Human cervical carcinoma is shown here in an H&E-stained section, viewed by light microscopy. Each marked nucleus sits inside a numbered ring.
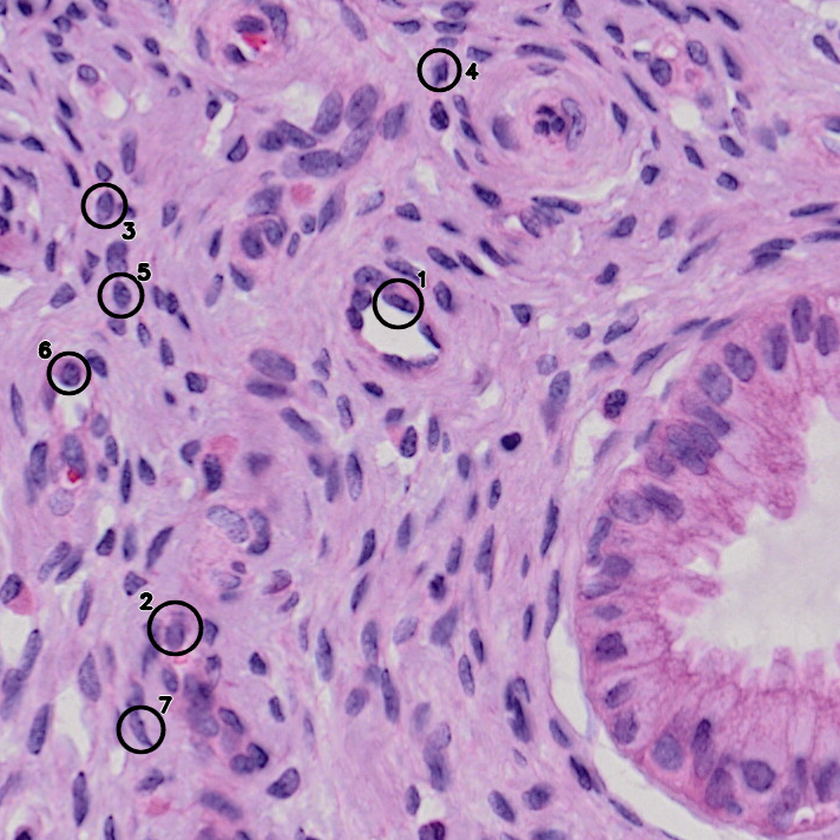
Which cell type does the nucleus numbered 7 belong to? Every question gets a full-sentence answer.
The nucleus with number 7 is that of a fibroblast.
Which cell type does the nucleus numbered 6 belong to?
The cell assigned the number 6 is an endothelial cell.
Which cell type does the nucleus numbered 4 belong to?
In this section, the cell numbered 4 is a fibroblast.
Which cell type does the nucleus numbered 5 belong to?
The cell given label 5 is a fibroblast.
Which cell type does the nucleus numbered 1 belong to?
The marked cell with the number 1 is recognised as an endothelial cell.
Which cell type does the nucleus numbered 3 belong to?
The nucleus labelled 3 belongs to a fibroblast.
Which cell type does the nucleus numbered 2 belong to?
The cell carrying label 2 is identified as an endothelial cell.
